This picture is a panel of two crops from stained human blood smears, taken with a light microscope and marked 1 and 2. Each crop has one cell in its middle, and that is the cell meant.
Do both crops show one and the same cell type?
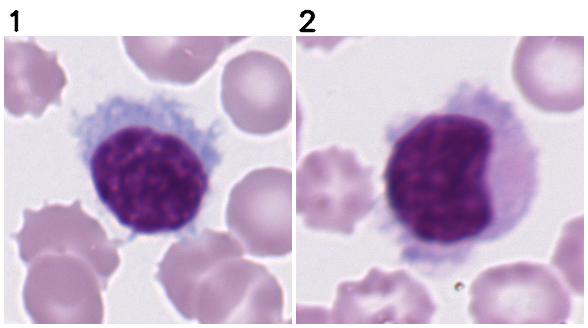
yes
